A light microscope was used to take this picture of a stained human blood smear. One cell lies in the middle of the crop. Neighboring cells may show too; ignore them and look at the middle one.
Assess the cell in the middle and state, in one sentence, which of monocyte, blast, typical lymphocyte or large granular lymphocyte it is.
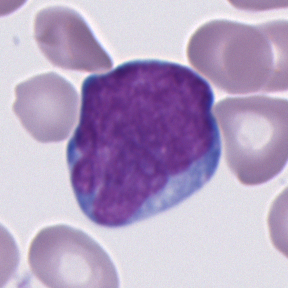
The single cell at the center of the crop is a blast.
